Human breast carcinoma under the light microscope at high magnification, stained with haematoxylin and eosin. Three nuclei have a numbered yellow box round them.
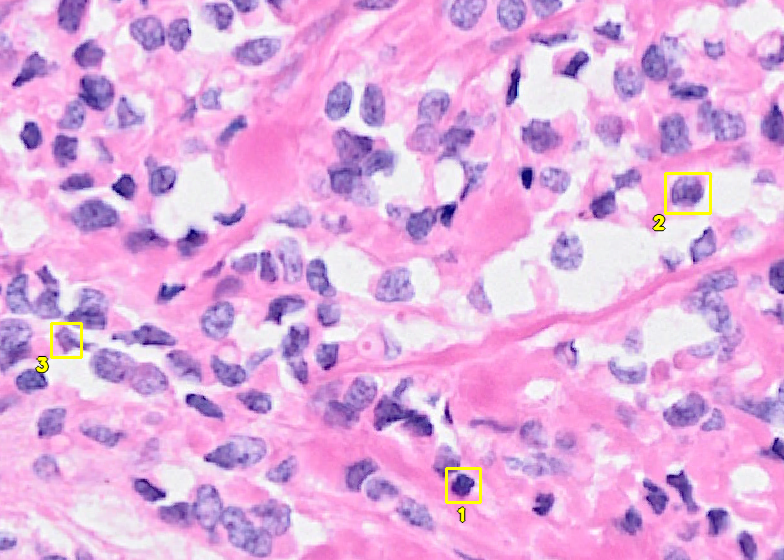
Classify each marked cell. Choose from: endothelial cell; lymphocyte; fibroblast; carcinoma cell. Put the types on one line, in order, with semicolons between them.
lymphocyte; carcinoma cell; carcinoma cell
